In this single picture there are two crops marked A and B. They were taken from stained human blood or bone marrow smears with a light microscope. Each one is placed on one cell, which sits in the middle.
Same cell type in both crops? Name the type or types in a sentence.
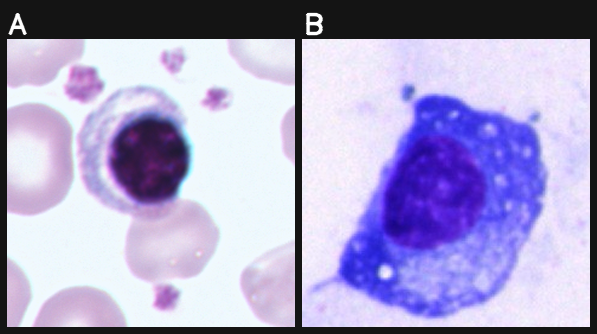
No, mark crop A as a normoblast and crop B as a plasma cell.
